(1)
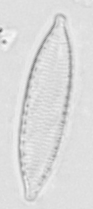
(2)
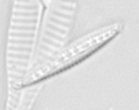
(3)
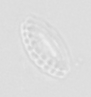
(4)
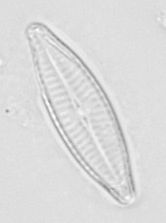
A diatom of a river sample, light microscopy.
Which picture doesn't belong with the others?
Picture 4.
